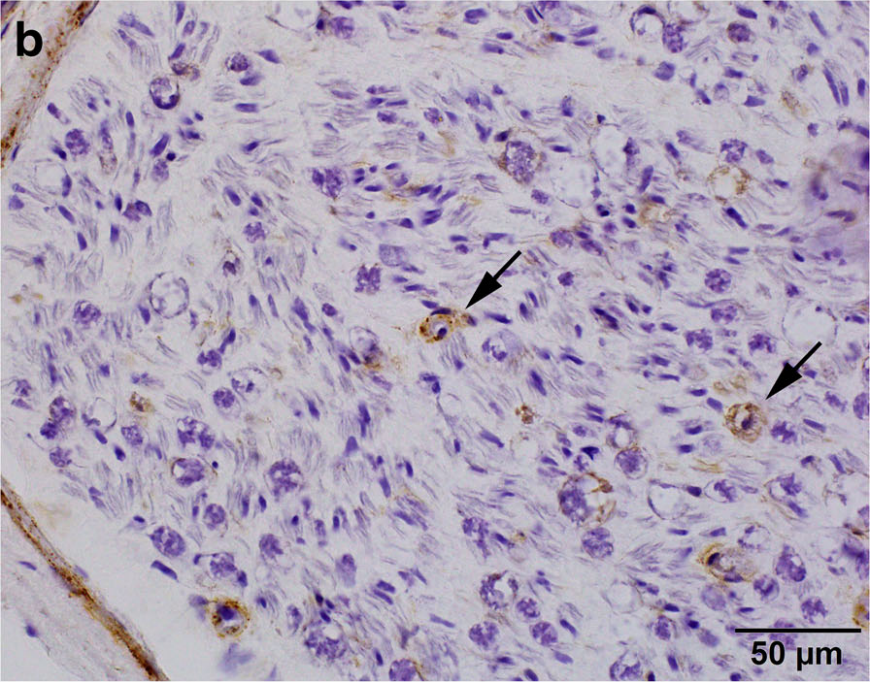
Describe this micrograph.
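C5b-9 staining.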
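This is a cross-section of fibrous tissue crowded with Schwann cells and the round profiles they surround. Many nuclei are slender and spindle-shaped, stained blue, and run in loosely parallel streams. Scattered among them are small round profiles, each a pale centre framed by a thin rim; a few of these rims carry a faint, granular brown stain, like little rings. Other round profiles enclose clumped blue nuclear material. Along the left edge runs a thin band of brown-stained sheath. The background between the cells is pale and finely fibrillar, without large dense deposits.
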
